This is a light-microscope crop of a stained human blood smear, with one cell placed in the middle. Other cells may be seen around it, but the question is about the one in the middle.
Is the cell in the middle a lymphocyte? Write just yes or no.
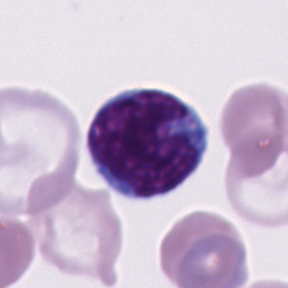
yes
